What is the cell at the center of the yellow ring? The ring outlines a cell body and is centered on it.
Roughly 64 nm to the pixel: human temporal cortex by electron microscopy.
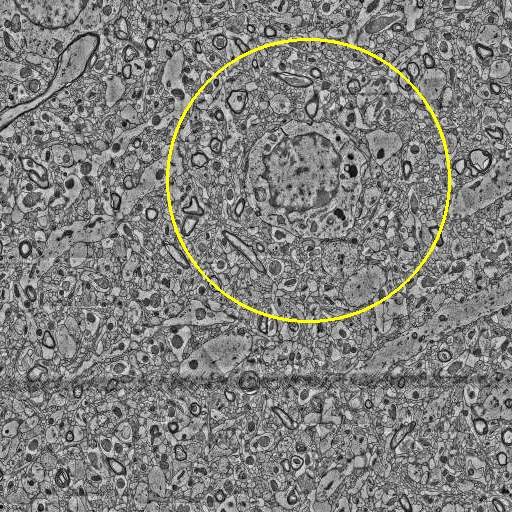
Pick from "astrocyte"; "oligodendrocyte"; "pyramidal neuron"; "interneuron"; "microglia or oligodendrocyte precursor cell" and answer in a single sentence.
The yellow ring is centered on an interneuron.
